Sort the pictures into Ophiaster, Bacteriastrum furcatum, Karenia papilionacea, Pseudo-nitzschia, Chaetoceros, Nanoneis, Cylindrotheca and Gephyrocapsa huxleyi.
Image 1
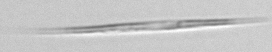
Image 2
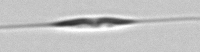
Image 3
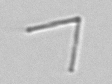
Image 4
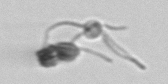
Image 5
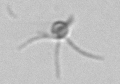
Pseudo-nitzschia: 1
Cylindrotheca: 2
Nanoneis: 3
Ophiaster: 4, 5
